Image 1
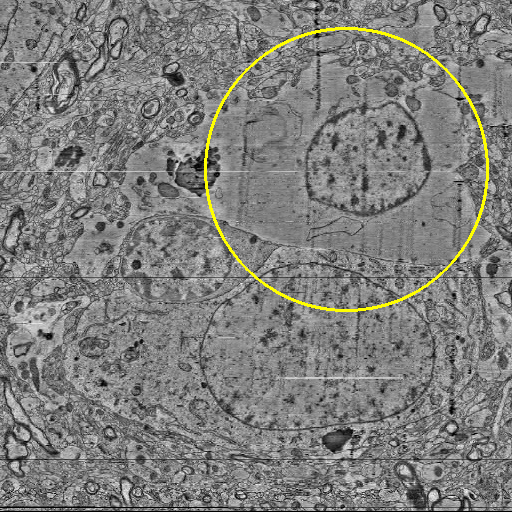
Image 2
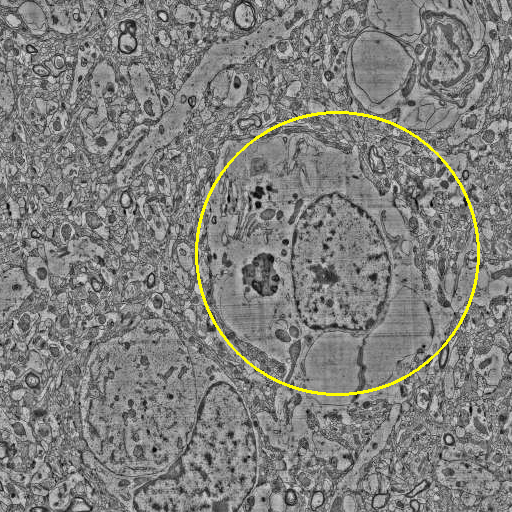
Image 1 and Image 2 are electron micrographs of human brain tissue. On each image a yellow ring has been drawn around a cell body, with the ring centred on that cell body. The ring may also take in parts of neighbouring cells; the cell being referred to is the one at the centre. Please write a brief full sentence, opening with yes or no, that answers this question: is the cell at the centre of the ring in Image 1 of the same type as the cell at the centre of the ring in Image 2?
Yes, both cells are of the same type.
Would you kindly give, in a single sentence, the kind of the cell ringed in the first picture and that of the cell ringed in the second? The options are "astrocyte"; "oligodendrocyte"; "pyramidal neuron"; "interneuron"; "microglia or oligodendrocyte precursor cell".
Each of the ringed cells, first and second, is an astrocyte.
